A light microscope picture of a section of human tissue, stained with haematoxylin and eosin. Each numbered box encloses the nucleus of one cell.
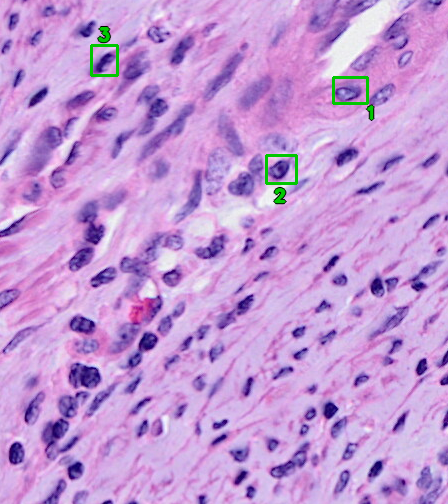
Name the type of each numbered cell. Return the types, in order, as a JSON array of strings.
["smooth muscle cell", "lymphocyte", "lymphocyte"]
